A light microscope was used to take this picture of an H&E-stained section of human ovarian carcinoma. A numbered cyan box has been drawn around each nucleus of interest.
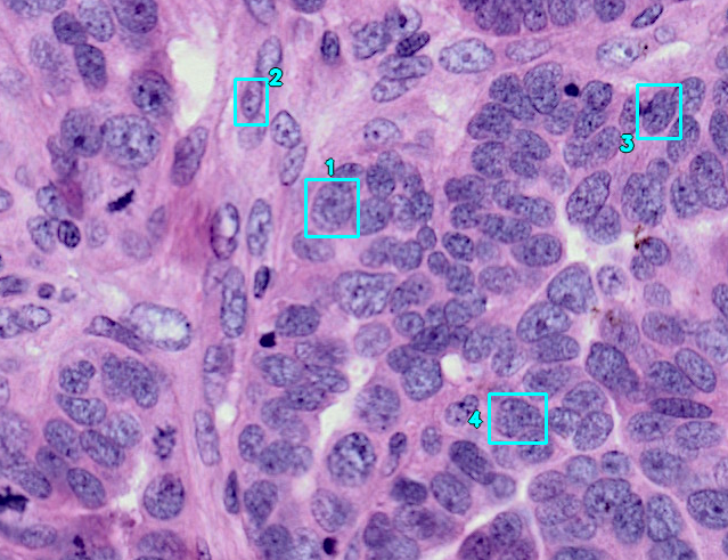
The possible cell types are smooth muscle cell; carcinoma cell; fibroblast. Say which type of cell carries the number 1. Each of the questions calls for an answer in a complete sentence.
The nucleus marked 1 is the nucleus of a carcinoma cell.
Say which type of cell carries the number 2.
The cell with the number 2 is a fibroblast.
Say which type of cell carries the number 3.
In the tissue shown, cell 3 is a carcinoma cell.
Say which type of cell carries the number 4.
The cell tagged with 4 in this tissue section is a carcinoma cell.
